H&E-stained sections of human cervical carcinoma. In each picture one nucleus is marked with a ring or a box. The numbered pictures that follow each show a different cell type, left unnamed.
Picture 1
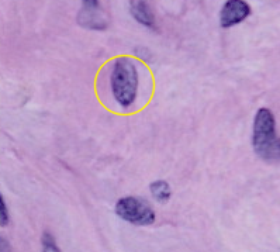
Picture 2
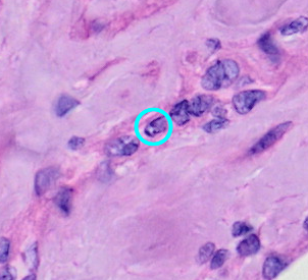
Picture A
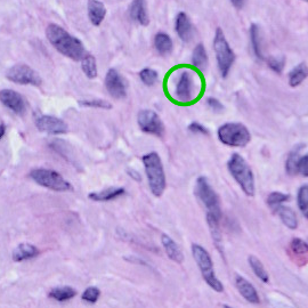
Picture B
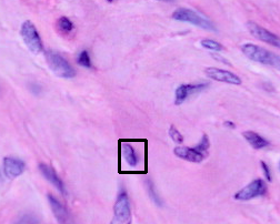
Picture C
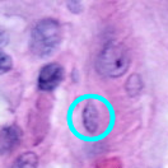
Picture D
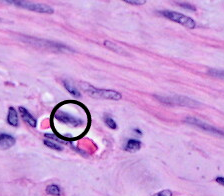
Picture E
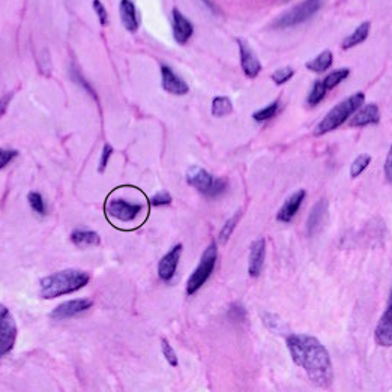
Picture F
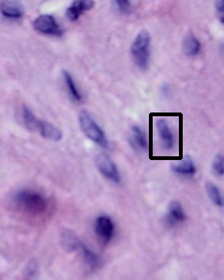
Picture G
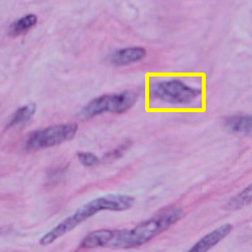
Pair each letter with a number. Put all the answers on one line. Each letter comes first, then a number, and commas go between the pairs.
A 1, B 1, C 2, D 2, E 1, F 1, G 1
